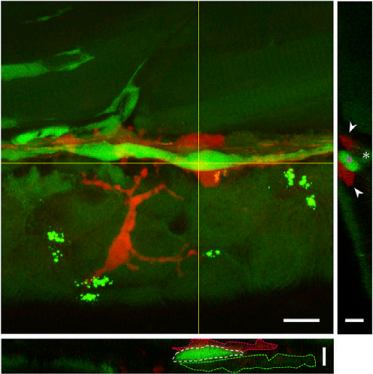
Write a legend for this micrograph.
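Along the band, bright green spindle-shaped cells lie end to end, with a fainter green, flattened cell beneath them. A red cell with a compact body sits along the band, and below it a second red cell spreads several long, branching processes over the underlying tissue. Small bright green dots and clusters are scattered in the tissue below. The narrow side and bottom views show the red cell lying close against the green cells in depth.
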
